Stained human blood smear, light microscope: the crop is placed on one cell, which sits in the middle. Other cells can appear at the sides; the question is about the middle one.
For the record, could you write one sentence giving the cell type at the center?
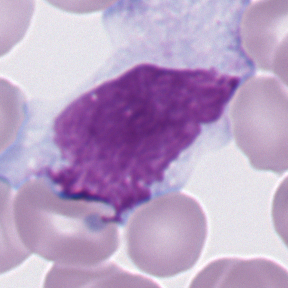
The centrally placed cell is classified as a monocyte.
